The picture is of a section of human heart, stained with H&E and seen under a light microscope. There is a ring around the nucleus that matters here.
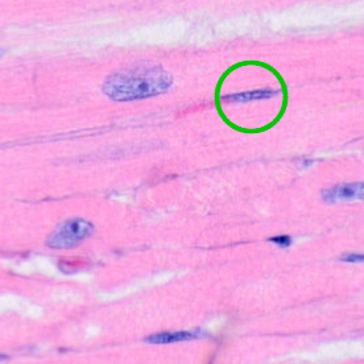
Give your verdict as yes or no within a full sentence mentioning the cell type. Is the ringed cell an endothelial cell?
Yes, the ringed cell is rightly regarded as an endothelial cell.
